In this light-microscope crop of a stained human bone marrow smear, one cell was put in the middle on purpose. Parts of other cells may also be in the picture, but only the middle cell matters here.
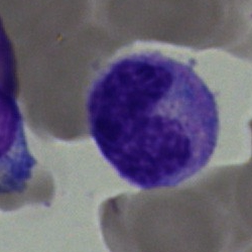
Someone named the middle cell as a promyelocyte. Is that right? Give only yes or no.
no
